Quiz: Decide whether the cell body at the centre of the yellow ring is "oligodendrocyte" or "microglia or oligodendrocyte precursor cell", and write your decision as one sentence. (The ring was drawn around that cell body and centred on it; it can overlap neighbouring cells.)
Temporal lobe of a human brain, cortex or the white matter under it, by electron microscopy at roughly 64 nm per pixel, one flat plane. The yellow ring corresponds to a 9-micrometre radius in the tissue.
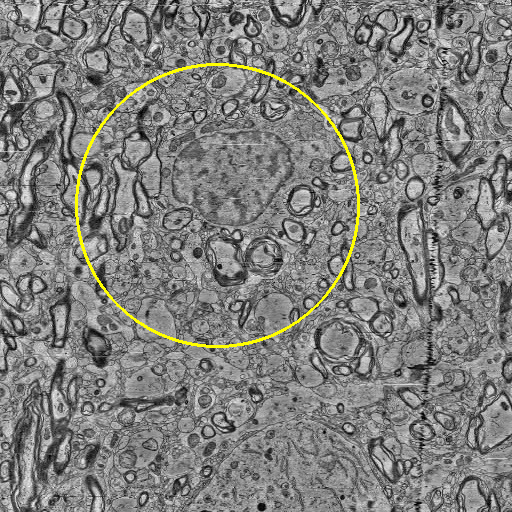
The cell the ring is centred on is an oligodendrocyte.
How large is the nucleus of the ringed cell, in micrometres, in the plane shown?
The ringed cell's nucleus measures approximately 8 by 7 micrometres in this plane.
